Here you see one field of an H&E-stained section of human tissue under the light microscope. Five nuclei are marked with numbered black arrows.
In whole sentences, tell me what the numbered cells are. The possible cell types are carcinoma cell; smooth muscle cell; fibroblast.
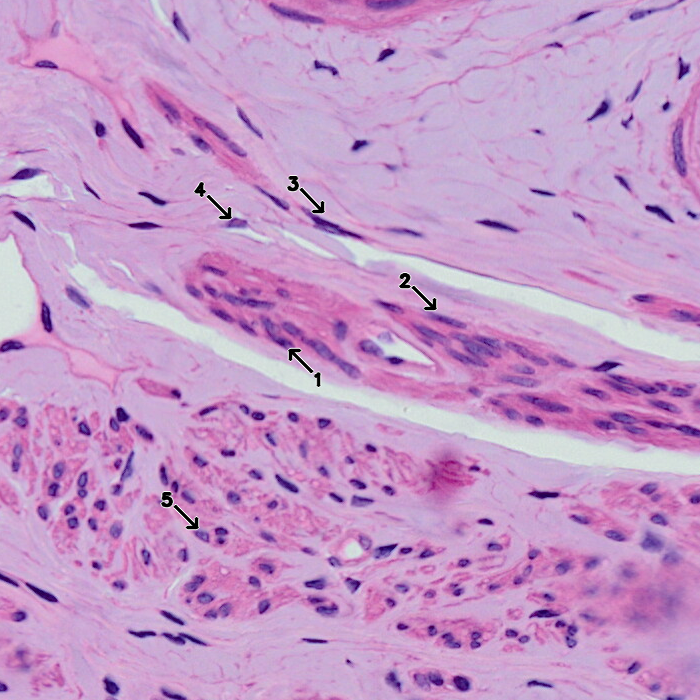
Cells 1, 2 and 5 are smooth muscle cells. Cells 3 and 4 are fibroblasts.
